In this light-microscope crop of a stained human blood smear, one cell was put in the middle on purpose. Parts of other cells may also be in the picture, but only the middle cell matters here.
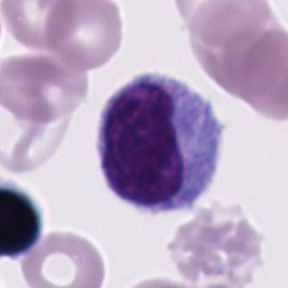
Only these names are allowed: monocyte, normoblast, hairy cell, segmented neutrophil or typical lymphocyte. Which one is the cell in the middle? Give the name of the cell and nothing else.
normoblast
